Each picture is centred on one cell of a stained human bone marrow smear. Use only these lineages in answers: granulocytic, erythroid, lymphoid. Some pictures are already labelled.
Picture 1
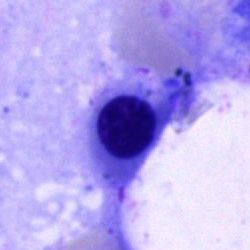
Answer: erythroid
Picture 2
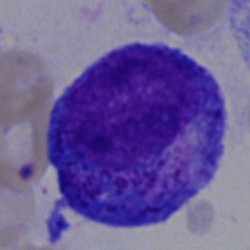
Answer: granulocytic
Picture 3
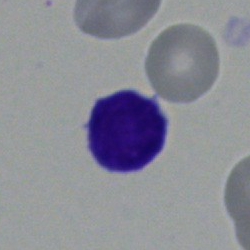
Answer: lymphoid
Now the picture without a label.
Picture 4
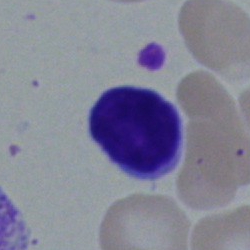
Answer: lymphoid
